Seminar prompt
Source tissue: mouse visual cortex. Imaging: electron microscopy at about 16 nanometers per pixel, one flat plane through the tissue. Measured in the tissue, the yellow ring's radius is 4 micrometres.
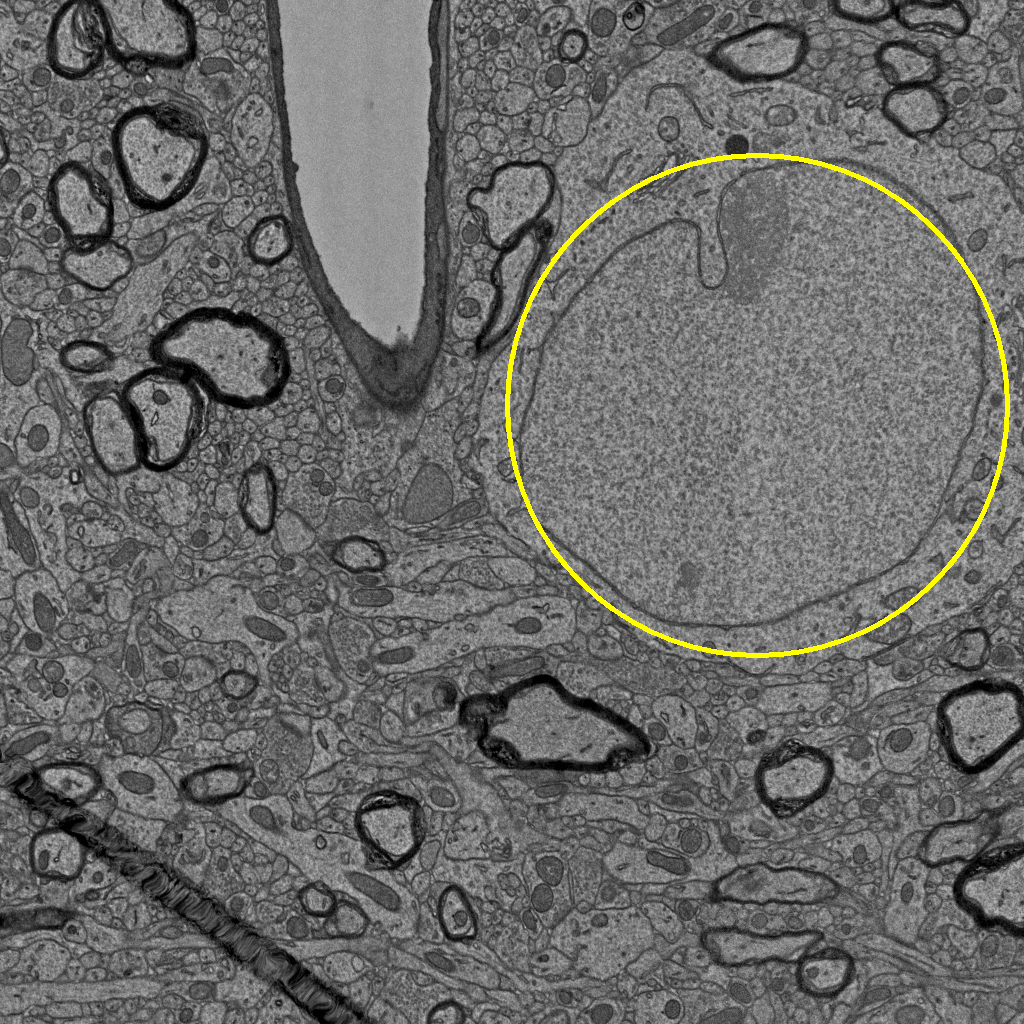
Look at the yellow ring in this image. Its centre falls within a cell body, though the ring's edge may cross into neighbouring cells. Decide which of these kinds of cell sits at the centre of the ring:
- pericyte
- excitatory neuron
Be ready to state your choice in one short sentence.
The kind of cell at the ring's centre is an excitatory neuron.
